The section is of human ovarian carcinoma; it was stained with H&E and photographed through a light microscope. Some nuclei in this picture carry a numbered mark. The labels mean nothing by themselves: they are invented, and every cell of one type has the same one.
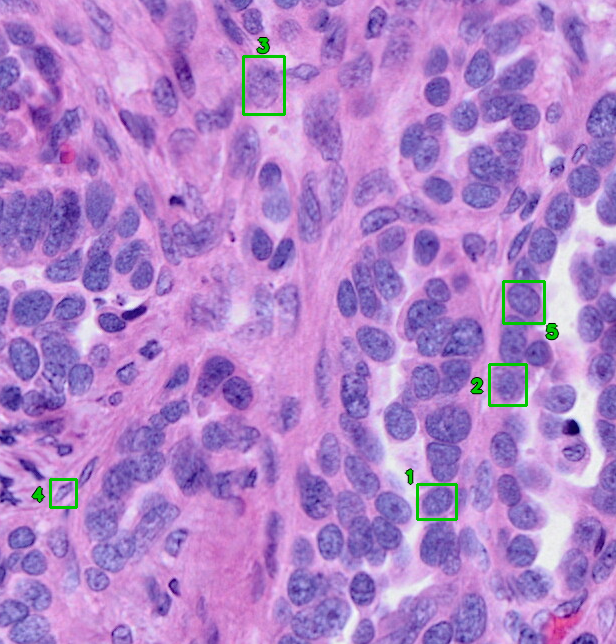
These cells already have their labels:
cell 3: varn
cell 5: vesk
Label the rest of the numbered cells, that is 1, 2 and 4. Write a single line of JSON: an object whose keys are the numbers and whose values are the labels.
{"1": "vesk", "2": "vesk", "4": "varn"}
